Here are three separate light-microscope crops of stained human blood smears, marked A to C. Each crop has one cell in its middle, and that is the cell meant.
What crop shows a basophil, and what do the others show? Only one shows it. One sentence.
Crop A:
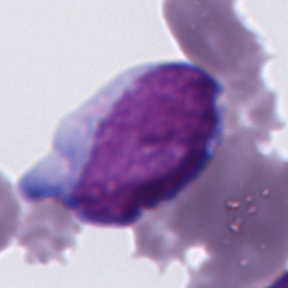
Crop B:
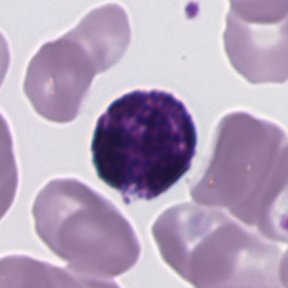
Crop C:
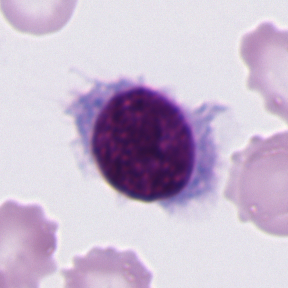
On the one hand crop B shows a basophil; on the other, crop A is a blast and crop C is a hairy cell.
